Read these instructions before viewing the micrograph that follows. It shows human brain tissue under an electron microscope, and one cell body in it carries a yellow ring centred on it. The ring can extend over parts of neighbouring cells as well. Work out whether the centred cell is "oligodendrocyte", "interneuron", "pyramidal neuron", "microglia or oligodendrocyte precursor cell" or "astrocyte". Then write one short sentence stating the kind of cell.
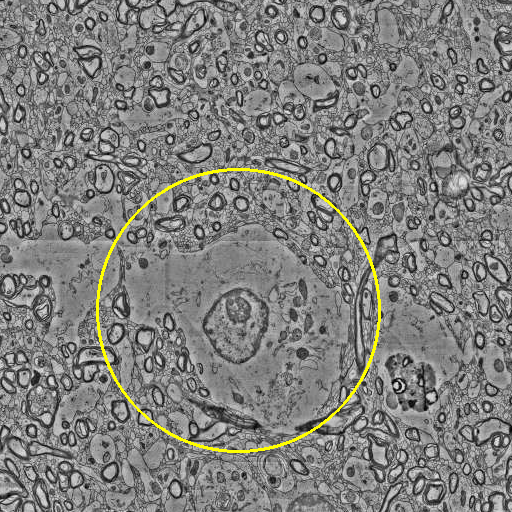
The ringed cell is an astrocyte.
